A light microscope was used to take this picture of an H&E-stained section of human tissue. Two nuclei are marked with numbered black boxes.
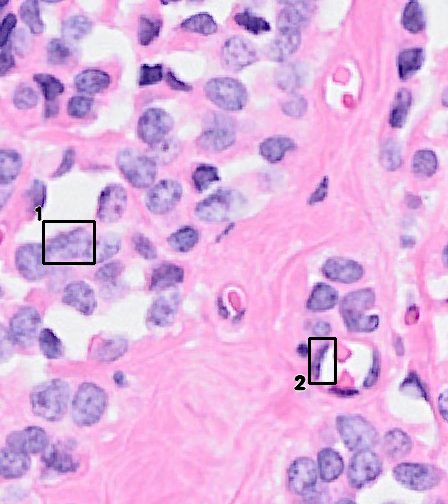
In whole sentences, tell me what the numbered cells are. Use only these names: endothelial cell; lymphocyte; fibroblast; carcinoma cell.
Cell 1 is a carcinoma cell. Cell 2 is an endothelial cell.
